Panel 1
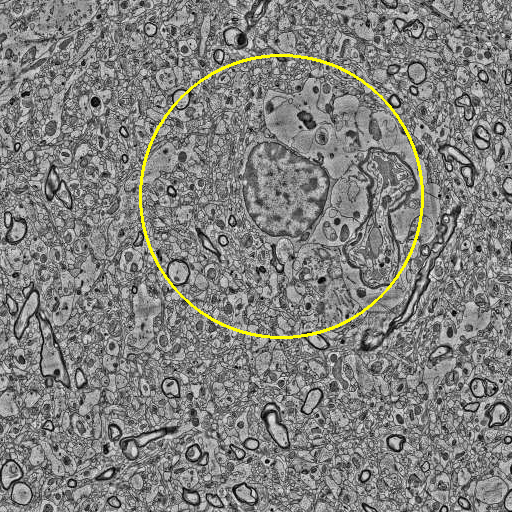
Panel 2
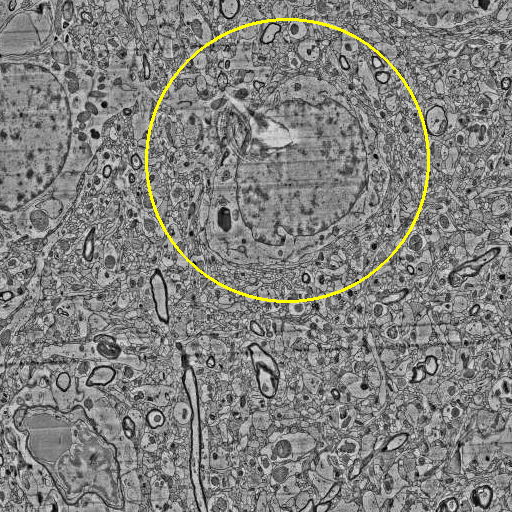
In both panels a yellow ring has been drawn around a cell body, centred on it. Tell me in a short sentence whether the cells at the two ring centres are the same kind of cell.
No, they are two kinds of cell.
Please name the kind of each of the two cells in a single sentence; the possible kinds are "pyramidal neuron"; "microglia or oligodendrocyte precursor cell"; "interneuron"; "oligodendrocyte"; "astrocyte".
In the first picture the ring is centred on an oligodendrocyte, and in the second on an interneuron.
